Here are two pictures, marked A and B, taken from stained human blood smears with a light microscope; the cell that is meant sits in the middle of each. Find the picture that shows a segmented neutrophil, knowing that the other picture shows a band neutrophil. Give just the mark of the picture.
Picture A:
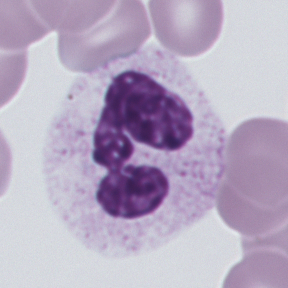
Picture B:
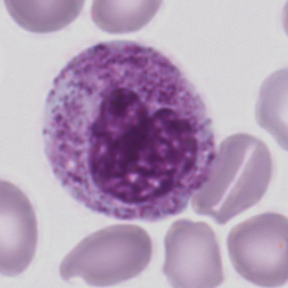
A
